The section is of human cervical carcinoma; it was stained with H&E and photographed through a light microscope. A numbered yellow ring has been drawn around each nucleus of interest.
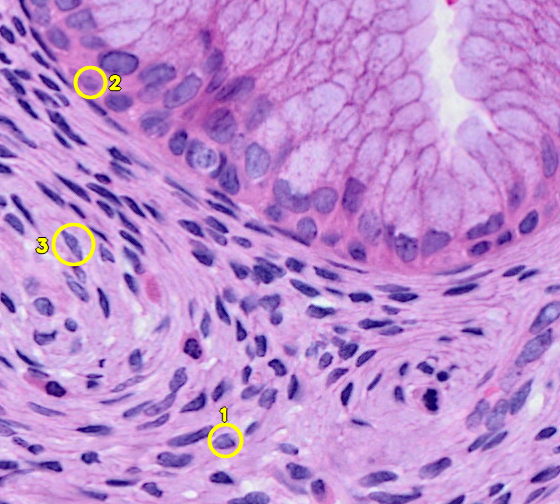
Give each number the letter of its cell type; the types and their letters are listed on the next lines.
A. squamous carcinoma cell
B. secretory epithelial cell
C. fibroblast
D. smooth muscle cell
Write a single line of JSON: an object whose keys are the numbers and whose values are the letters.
{"1": "C", "2": "B", "3": "C"}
